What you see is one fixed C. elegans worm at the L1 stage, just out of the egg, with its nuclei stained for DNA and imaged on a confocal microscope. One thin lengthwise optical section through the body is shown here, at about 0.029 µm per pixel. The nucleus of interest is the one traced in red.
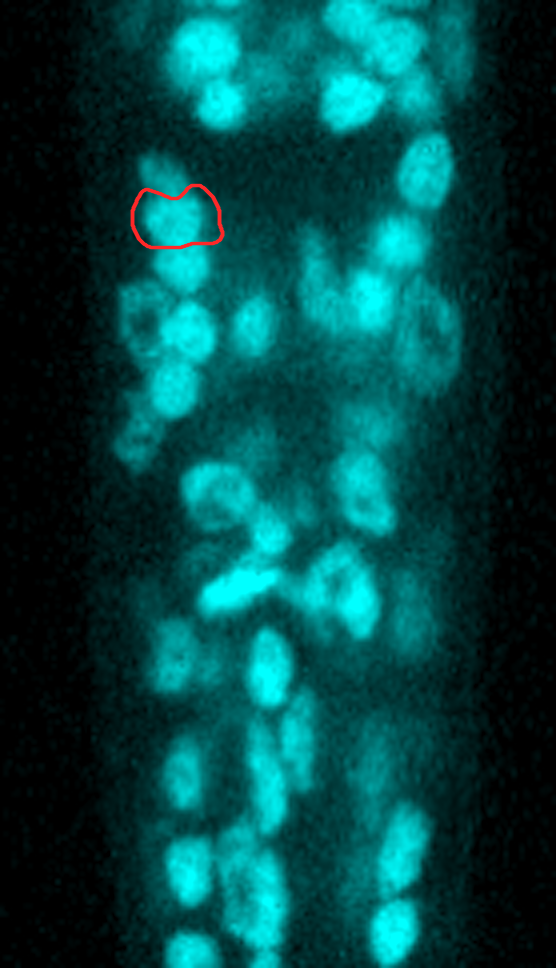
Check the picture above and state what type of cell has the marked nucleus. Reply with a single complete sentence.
The nucleus comes from a neuron.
